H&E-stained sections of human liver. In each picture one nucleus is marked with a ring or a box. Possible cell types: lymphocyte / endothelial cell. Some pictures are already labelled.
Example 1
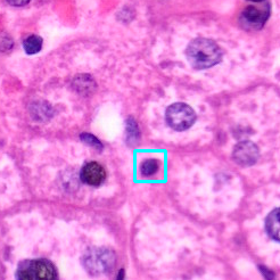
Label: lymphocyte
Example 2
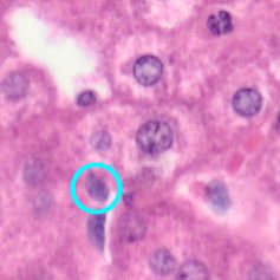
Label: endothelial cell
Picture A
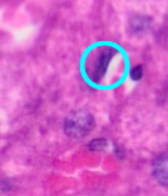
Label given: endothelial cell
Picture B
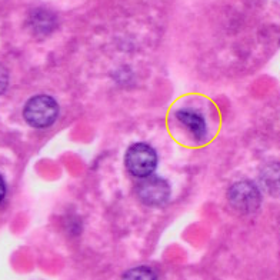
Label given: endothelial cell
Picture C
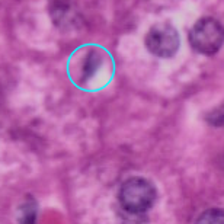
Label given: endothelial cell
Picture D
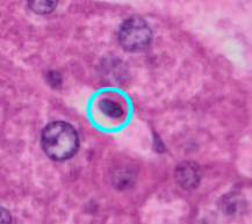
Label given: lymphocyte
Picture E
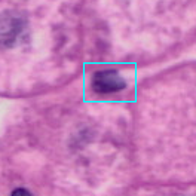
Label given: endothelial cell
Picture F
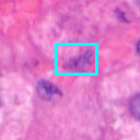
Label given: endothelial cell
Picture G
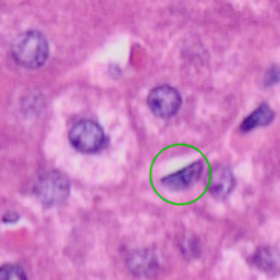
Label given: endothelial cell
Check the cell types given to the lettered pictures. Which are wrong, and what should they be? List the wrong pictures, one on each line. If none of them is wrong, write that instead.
No label is wrong.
